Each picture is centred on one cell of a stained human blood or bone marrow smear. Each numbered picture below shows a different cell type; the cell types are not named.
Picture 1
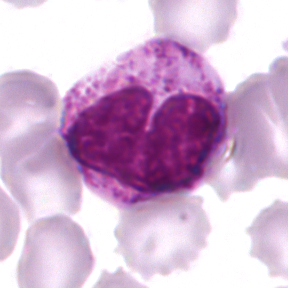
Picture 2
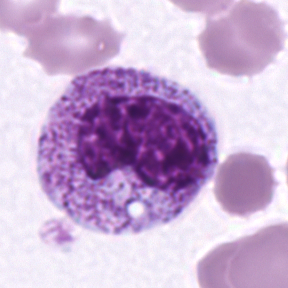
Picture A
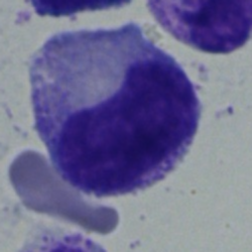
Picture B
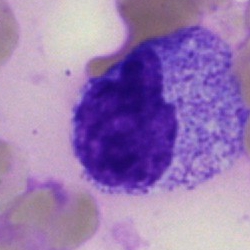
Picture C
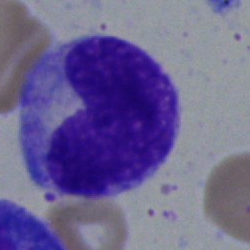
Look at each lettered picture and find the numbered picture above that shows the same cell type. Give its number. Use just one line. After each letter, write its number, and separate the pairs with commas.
A 2, B 2, C 2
